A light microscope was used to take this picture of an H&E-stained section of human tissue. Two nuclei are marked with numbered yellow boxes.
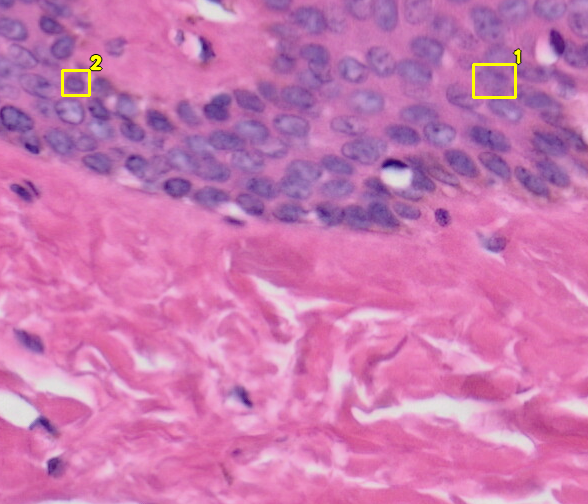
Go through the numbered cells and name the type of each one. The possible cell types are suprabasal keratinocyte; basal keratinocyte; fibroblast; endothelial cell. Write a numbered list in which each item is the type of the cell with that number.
1. suprabasal keratinocyte
2. basal keratinocyte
